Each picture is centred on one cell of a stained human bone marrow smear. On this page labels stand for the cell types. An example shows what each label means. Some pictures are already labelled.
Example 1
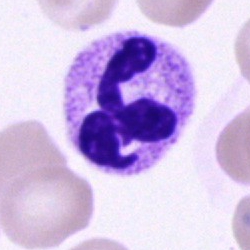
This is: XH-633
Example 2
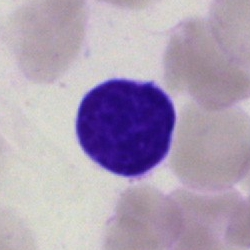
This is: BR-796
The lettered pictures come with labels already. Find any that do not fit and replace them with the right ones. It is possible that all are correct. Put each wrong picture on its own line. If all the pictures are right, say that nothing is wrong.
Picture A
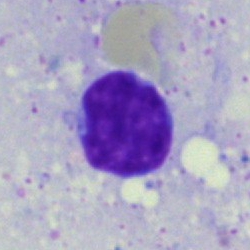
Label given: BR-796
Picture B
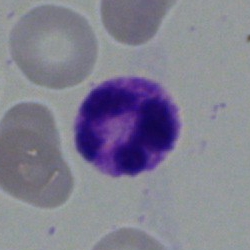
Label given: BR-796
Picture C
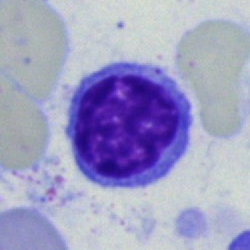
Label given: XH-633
B should be XH-633, not BR-796
C should be BR-796, not XH-633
